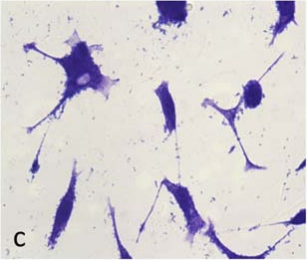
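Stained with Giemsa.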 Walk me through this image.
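Many cells are drawn out into elongated, spindle-like shapes, and several send out long, thin processes that taper to fine points. The cytoplasm stains densely and fairly evenly purple, so that the nucleus is hard to make out in most cells. Fine dark specks are scattered over the background between the cells.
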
